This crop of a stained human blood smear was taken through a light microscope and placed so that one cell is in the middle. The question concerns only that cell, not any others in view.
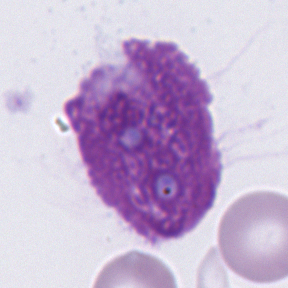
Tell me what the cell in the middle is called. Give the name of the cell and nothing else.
smudge cell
